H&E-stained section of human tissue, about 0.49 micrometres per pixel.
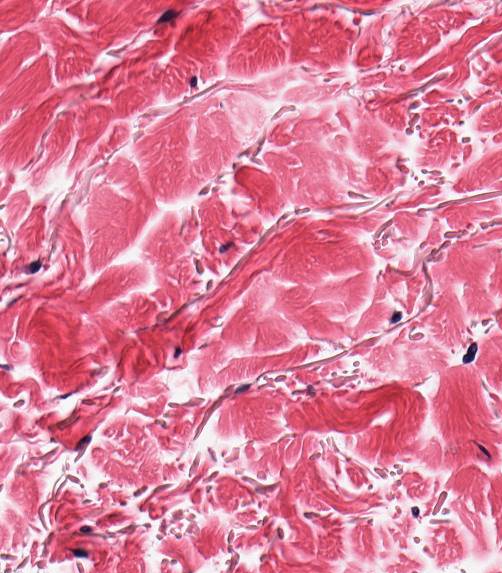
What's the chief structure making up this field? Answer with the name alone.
dermis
